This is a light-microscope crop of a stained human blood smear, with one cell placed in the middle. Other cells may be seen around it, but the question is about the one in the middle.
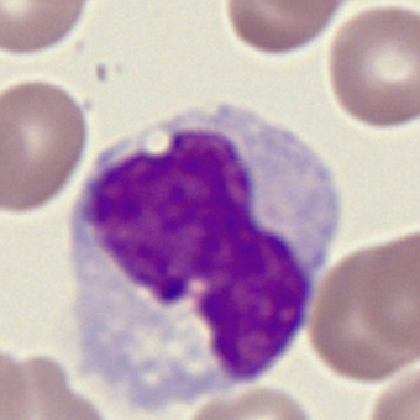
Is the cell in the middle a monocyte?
yes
